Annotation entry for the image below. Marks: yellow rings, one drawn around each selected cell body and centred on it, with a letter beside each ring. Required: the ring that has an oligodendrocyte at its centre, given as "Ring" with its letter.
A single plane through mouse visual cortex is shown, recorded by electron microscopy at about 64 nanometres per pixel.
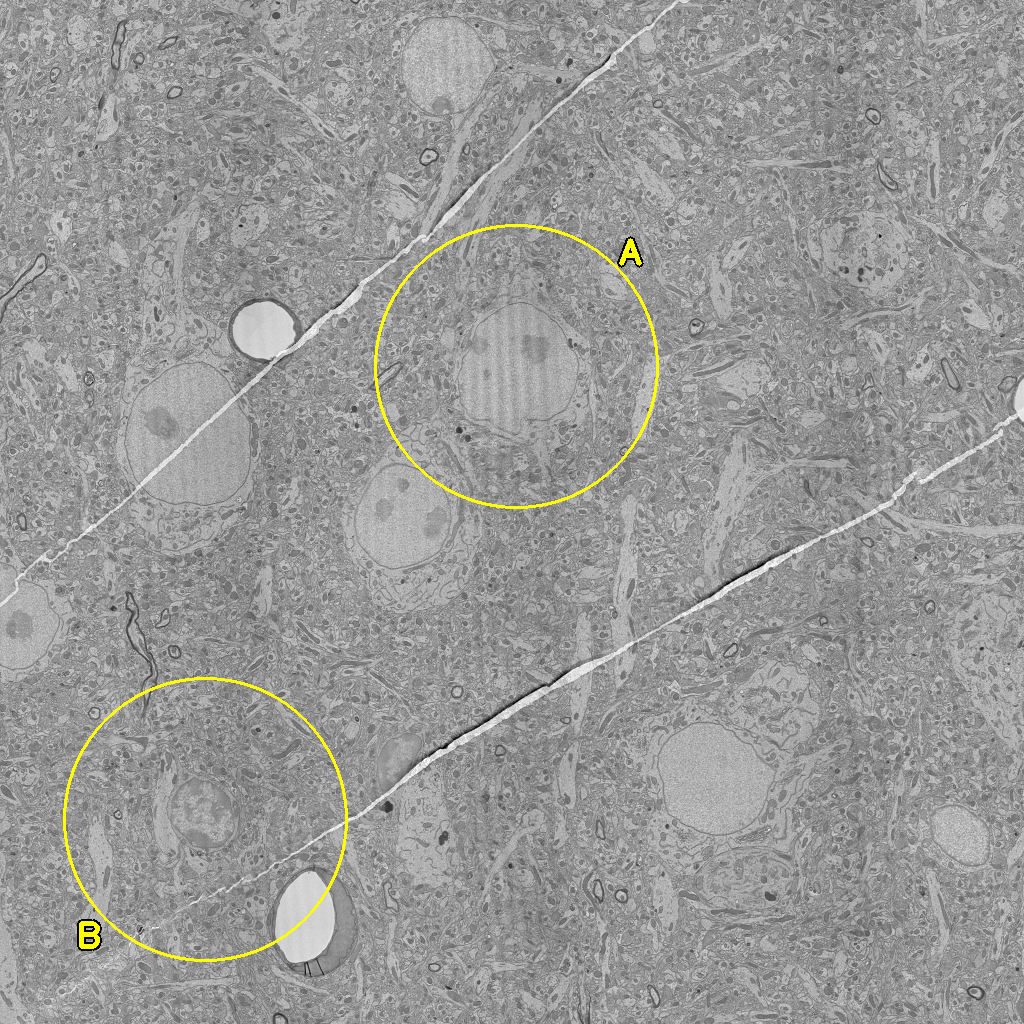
Ring B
